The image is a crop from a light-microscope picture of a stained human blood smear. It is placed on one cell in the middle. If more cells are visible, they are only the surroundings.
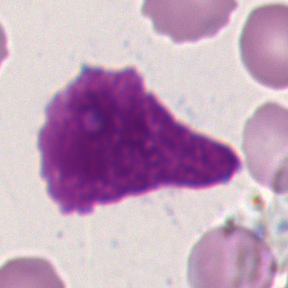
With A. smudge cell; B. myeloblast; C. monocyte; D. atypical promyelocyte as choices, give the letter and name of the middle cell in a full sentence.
The cell in the centre of the crop is a smudge cell, so option A is the correct one.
